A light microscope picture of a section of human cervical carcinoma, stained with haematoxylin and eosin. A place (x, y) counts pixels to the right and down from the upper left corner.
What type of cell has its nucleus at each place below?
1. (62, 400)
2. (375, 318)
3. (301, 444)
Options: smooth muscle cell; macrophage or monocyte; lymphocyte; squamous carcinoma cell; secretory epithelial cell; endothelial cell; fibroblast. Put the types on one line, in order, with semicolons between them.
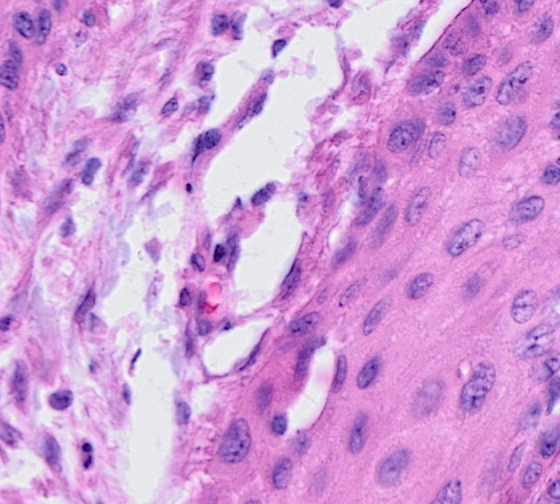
lymphocyte; squamous carcinoma cell; squamous carcinoma cell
